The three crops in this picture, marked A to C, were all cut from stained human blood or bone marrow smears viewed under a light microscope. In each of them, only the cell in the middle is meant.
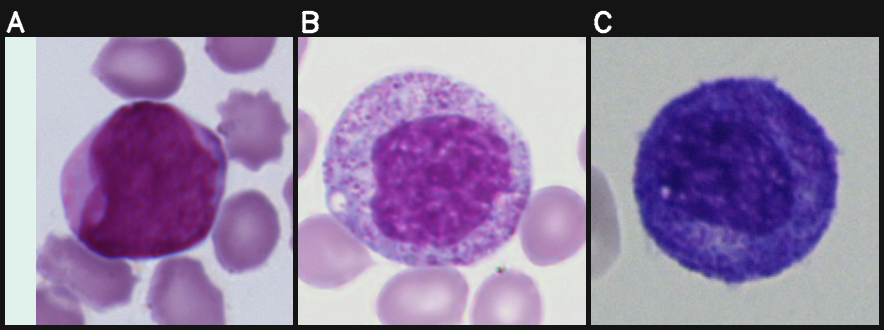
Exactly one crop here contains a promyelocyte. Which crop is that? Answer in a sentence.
Among the crops, only crop C contains a promyelocyte.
